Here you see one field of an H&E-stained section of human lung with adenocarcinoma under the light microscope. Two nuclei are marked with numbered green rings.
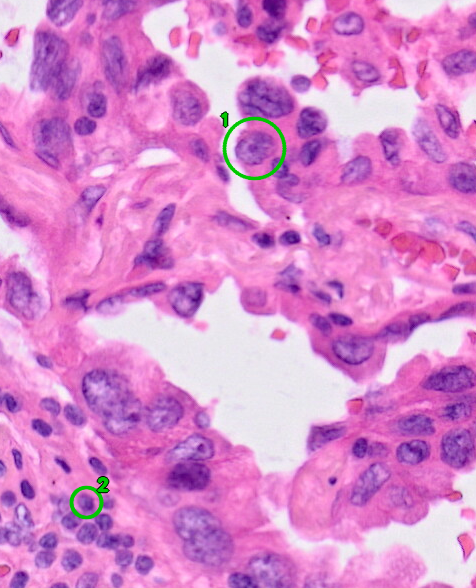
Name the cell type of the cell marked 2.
lymphocyte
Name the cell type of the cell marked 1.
carcinoma cell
